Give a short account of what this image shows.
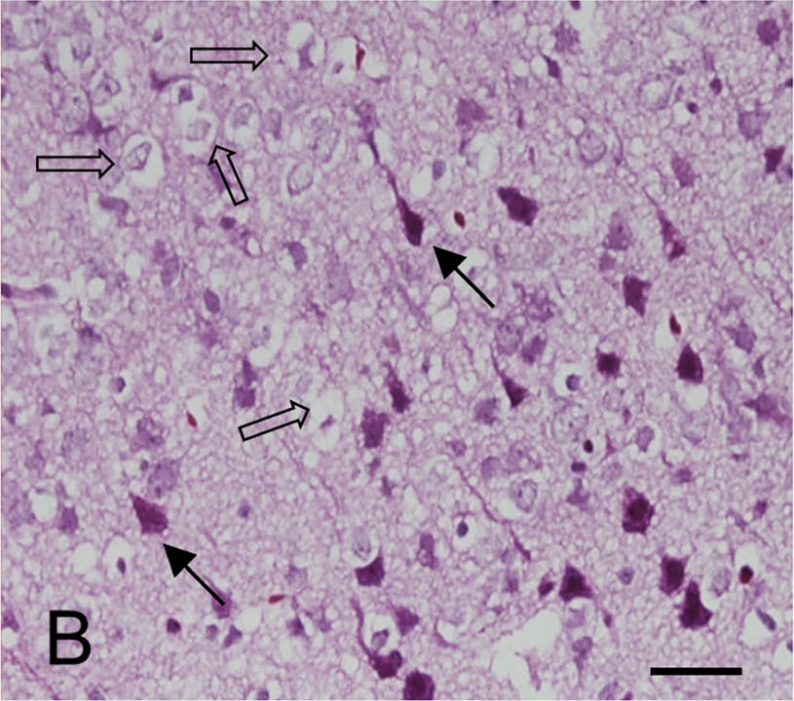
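Cerebral cortex in which the neuropil is pale and full of small clear vacuoles, giving a spongy look. Many neurons are rounded and pale with large swollen nuclei and sit in clear spaces, while scattered other neurons remain dark, triangular and pyramidal with a long apical process.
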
